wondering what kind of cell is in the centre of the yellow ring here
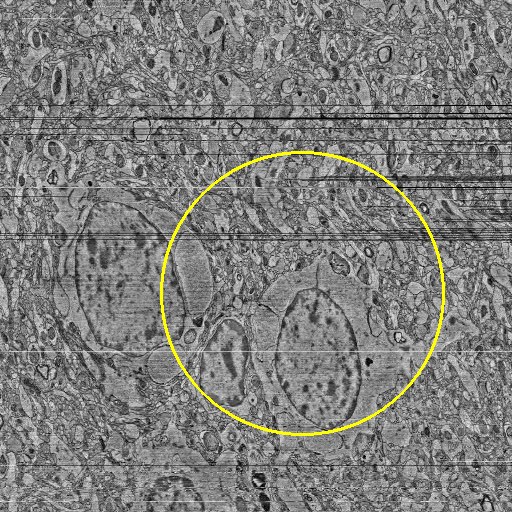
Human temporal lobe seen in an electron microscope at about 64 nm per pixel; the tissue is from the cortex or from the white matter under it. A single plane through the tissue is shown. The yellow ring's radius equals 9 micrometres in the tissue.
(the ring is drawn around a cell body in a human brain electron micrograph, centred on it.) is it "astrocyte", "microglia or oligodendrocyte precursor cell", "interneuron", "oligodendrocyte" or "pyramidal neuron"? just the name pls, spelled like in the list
astrocyte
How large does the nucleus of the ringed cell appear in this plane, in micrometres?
Approximately 9 by 5 micrometers, which makes the nucleus clearly longer than it is wide in this plane.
